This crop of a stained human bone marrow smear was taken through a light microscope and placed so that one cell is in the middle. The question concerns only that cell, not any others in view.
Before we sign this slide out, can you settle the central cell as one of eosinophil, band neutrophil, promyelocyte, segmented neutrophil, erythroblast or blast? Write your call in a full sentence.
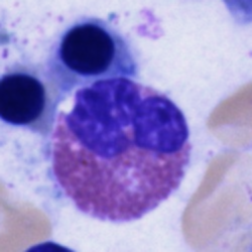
In the middle of this smear crop is an eosinophil.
